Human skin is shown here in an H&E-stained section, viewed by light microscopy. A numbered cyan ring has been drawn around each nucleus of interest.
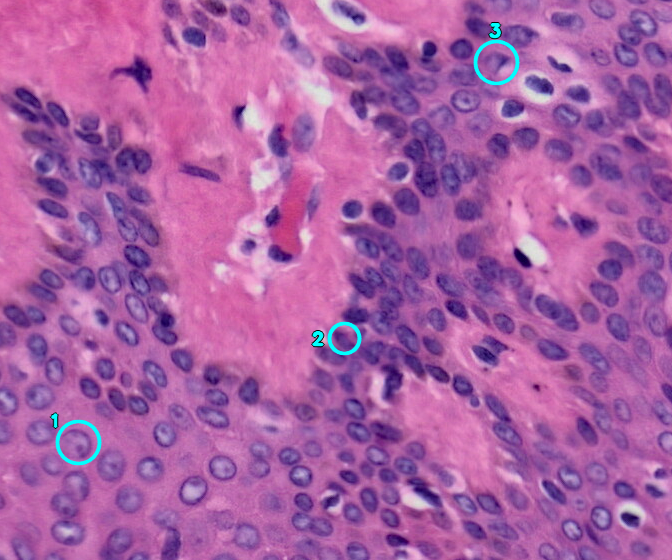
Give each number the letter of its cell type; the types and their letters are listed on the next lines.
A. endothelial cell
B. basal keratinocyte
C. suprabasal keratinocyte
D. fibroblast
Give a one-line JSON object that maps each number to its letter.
{"1": "C", "2": "B", "3": "B"}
